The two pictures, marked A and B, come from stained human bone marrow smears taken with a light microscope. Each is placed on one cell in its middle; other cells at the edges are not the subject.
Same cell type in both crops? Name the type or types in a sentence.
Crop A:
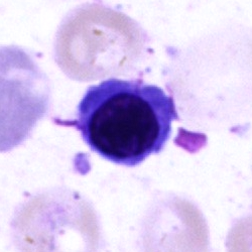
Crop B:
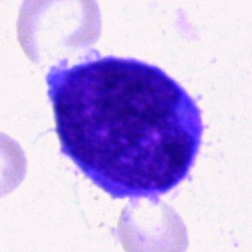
No, look again: crop A shows an erythroblast, and crop B shows a blast.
